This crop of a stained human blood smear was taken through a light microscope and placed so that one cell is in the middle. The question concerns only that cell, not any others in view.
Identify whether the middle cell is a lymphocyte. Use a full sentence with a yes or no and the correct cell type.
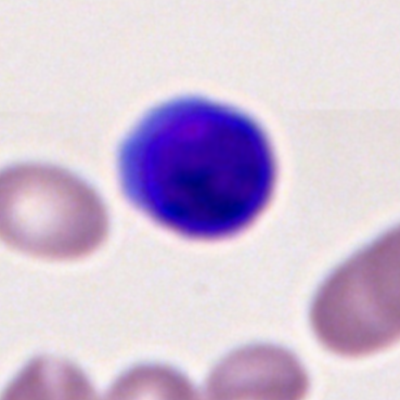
Yes, that middle cell in the crop is a lymphocyte.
